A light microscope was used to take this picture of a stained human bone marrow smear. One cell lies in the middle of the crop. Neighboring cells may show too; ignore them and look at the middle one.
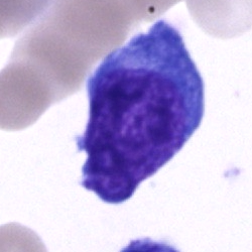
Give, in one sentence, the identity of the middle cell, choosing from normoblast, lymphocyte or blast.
The cell centred in this crop is categorized as a blast.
